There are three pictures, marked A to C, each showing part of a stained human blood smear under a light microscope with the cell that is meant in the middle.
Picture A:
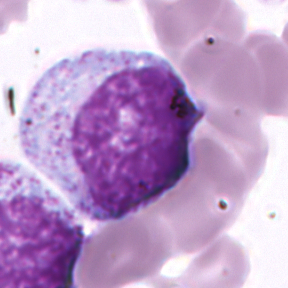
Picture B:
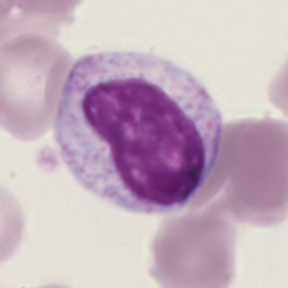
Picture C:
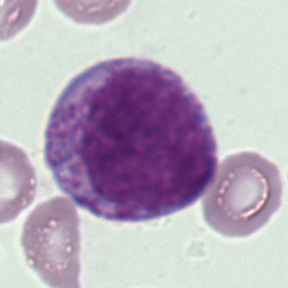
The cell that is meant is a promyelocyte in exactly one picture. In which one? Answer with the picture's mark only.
C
